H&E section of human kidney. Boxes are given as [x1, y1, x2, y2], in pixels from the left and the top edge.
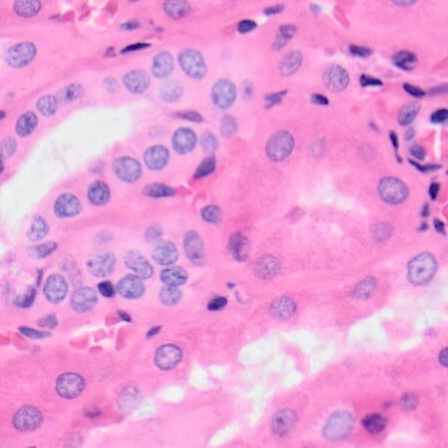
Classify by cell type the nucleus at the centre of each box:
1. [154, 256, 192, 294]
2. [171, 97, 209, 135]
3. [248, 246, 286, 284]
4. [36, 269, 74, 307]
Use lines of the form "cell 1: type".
cell 1: collecting duct cell
cell 2: collecting duct cell
cell 3: proximal tubule cell
cell 4: collecting duct cell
